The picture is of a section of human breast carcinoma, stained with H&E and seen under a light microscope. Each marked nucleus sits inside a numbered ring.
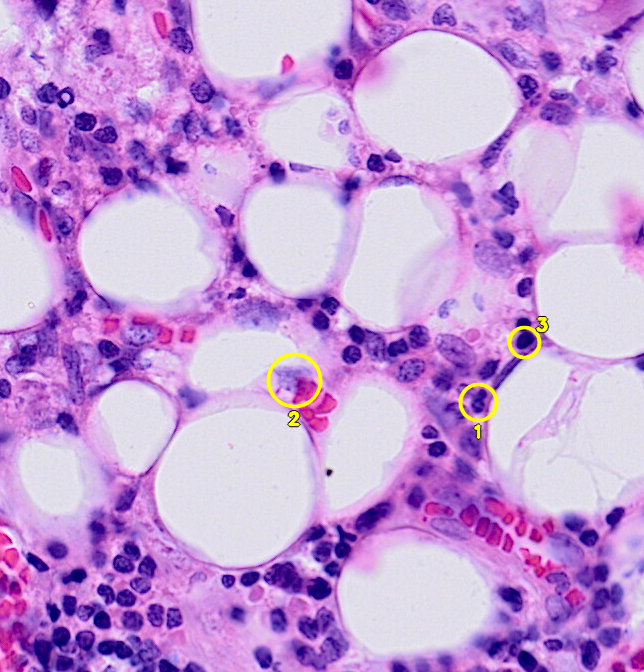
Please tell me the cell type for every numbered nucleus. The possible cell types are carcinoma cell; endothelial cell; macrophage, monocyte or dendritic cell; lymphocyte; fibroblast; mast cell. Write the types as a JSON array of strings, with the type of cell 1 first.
["lymphocyte", "endothelial cell", "lymphocyte"]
